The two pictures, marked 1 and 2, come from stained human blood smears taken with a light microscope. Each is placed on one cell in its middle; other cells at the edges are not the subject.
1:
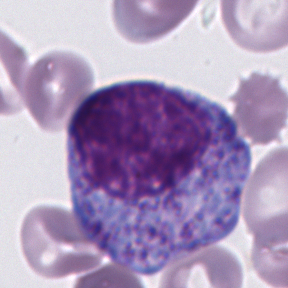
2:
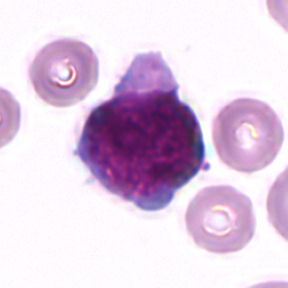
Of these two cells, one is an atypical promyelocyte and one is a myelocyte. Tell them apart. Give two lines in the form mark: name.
1: myelocyte
2: atypical promyelocyte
